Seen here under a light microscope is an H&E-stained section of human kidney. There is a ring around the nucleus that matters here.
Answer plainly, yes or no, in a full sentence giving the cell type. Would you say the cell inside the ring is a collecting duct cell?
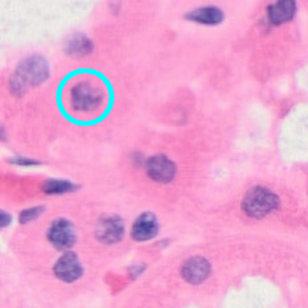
No, the cell inside the ring is simply a loop of Henle or distal tubule cell rather than a collecting duct cell.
